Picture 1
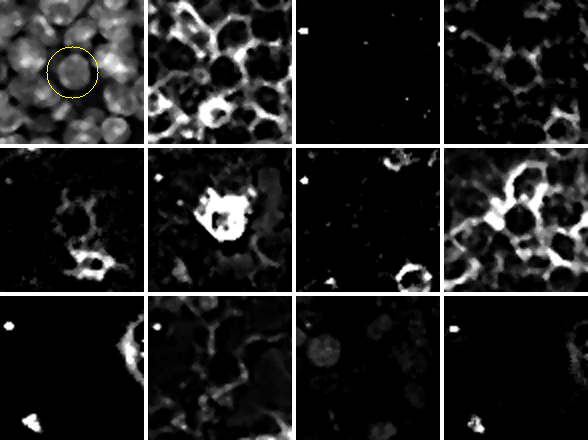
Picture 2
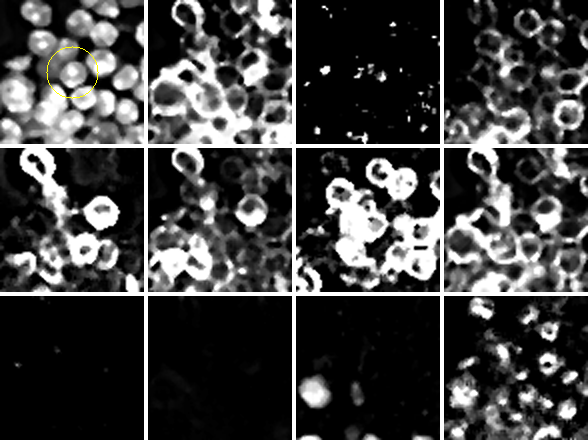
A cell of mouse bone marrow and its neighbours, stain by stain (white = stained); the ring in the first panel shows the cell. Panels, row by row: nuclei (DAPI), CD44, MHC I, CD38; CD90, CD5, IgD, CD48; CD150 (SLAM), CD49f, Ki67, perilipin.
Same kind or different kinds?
Different: the first is a T cell, the second a B cell.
